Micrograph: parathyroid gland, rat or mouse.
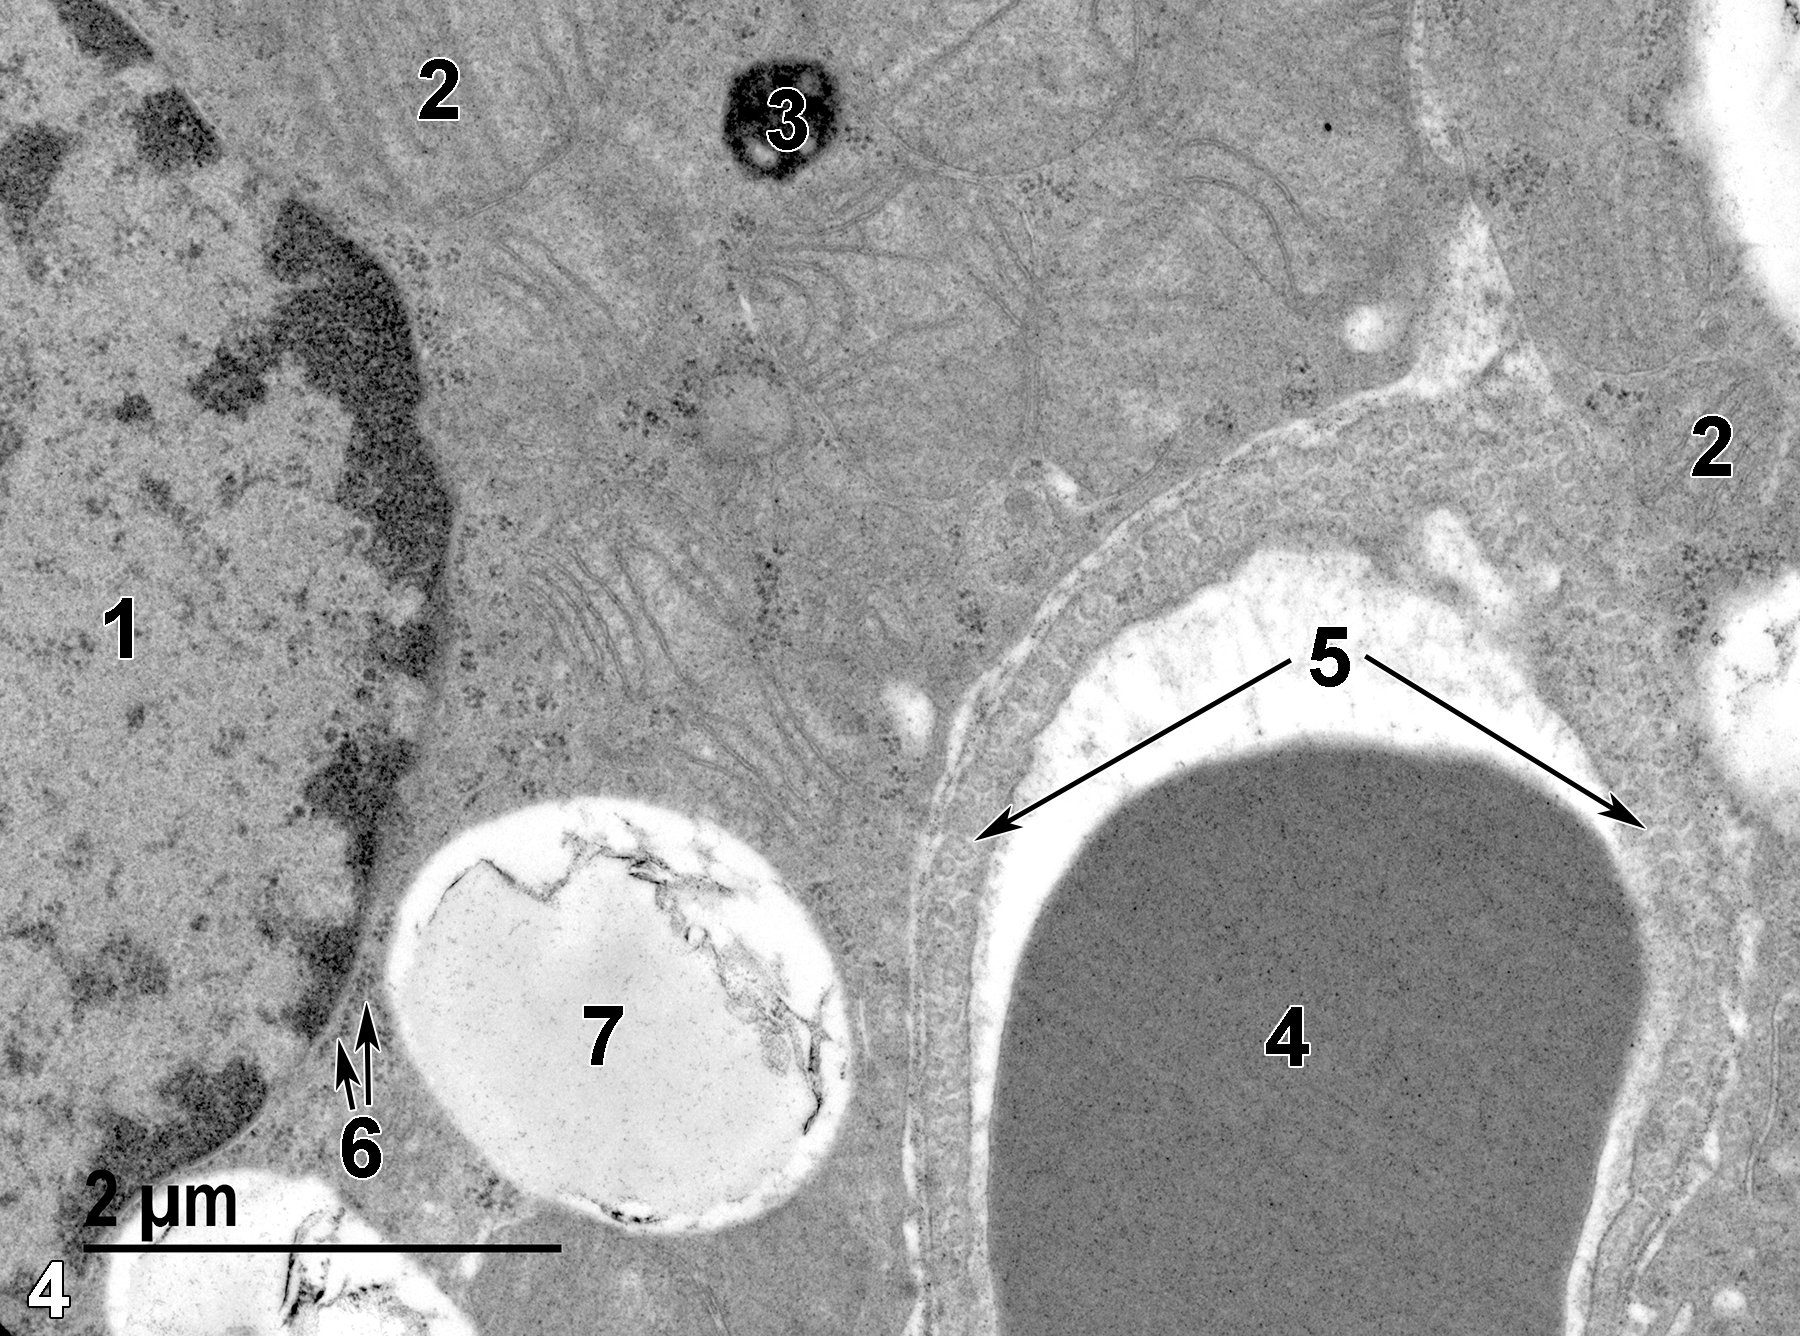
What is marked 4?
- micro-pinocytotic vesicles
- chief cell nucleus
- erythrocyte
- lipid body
erythrocyte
